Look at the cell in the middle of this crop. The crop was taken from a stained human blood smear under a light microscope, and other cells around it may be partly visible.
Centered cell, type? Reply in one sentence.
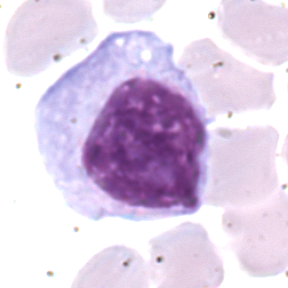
The crop centres on a single cell, and that cell is a plasma cell.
